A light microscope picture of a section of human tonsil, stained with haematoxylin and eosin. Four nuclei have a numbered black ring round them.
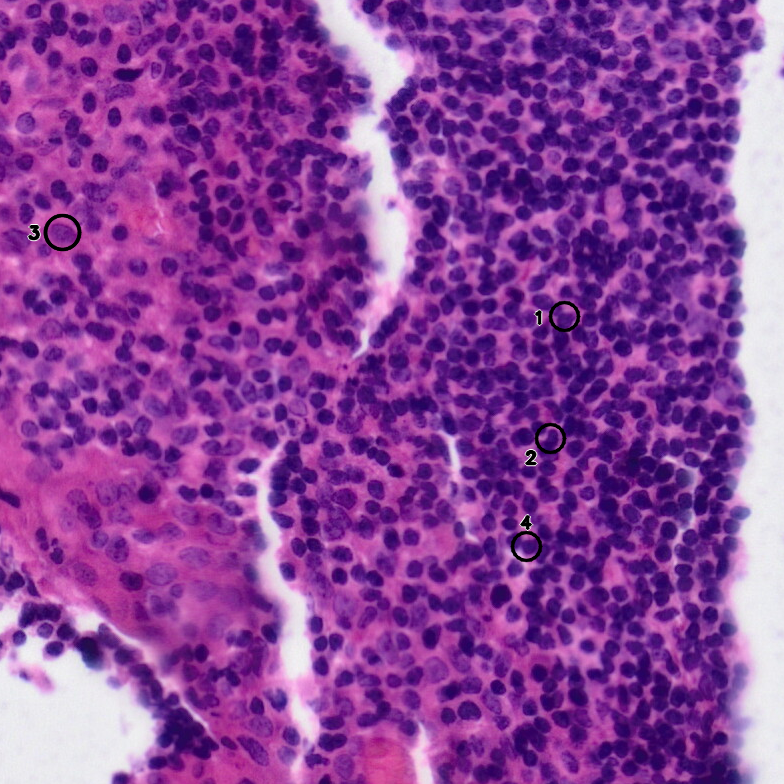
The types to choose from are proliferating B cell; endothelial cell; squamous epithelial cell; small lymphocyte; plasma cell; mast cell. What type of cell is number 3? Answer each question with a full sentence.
Numbered cell 3 is a squamous epithelial cell in this tissue section.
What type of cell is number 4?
As for number 4, that cell is a small lymphocyte.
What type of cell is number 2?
What the number 2 marks in this field is a small lymphocyte.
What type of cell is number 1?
The cell whose nucleus carries the number 1 is a small lymphocyte.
